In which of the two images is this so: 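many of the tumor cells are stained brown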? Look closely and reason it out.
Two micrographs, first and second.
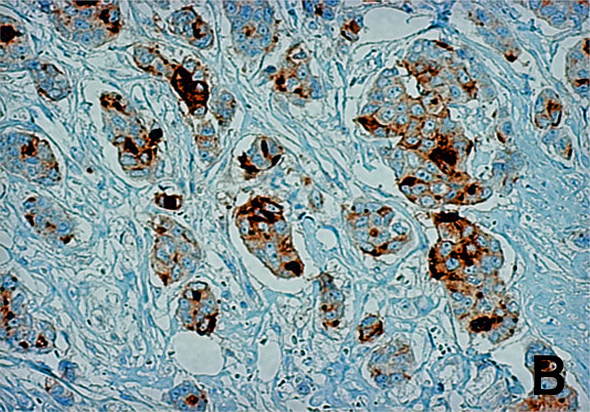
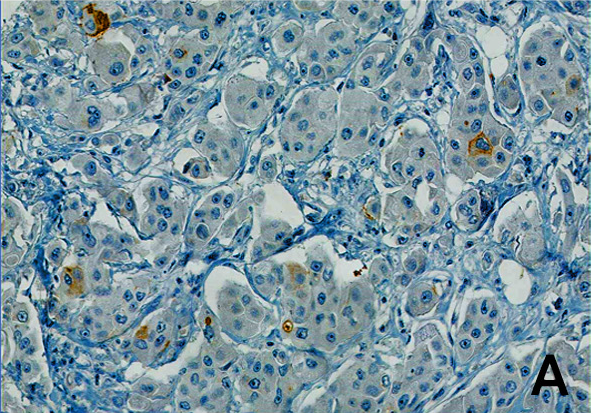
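The first image. First image: brown stain fills the cytoplasm of many cells in most of the nests. Second image: brown stain is limited to a few scattered cells; most cells are pale grey-blue.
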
